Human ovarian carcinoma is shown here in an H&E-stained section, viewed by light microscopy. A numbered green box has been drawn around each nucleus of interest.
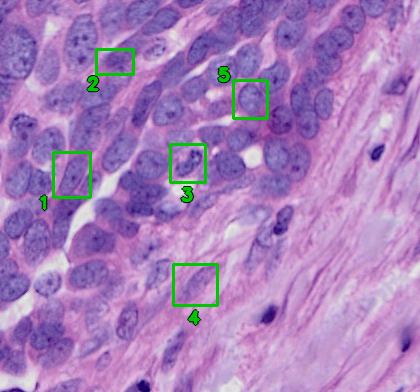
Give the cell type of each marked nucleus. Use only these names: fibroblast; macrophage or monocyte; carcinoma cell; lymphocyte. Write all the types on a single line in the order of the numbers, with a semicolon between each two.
carcinoma cell; carcinoma cell; macrophage or monocyte; fibroblast; carcinoma cell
